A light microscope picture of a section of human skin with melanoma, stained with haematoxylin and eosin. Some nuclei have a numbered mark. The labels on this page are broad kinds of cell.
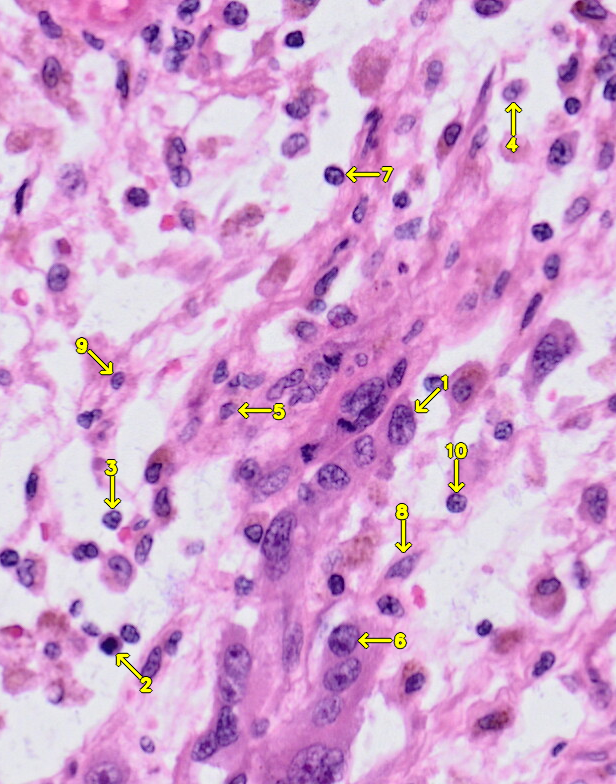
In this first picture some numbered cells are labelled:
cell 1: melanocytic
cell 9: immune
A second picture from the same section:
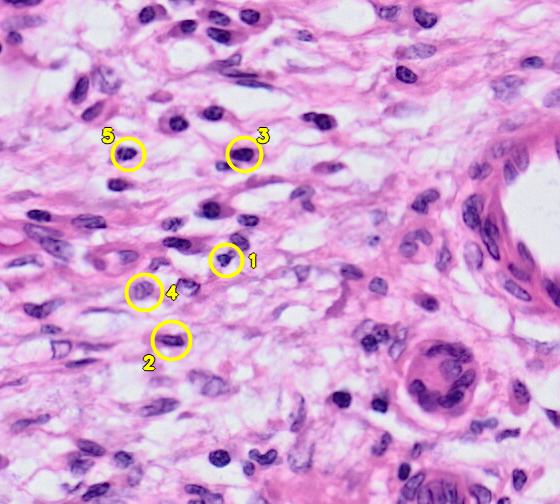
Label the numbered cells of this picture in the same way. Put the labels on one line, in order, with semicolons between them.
immune; immune; immune; immune; immune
